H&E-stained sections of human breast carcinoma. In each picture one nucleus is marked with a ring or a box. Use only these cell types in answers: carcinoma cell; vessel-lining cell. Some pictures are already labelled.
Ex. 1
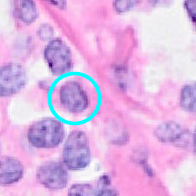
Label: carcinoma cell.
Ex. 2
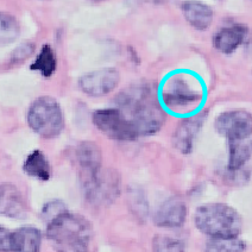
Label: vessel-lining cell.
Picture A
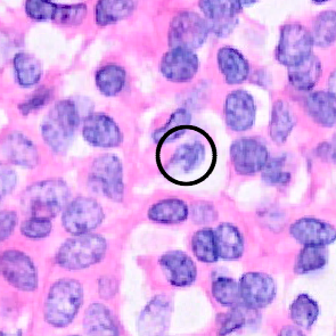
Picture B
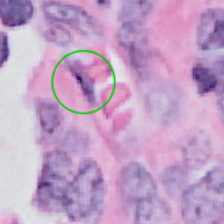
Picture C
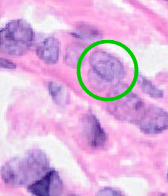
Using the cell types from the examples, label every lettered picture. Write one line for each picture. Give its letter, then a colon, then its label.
A: carcinoma cell.
B: vessel-lining cell.
C: carcinoma cell.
